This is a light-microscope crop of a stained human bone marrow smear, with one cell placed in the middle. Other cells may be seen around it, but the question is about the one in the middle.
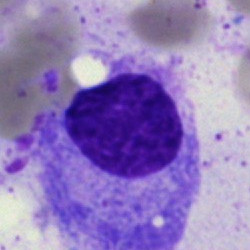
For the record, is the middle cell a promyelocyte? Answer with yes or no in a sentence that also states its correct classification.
No, at the centre of this crop is found a plasma cell instead of a promyelocyte.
